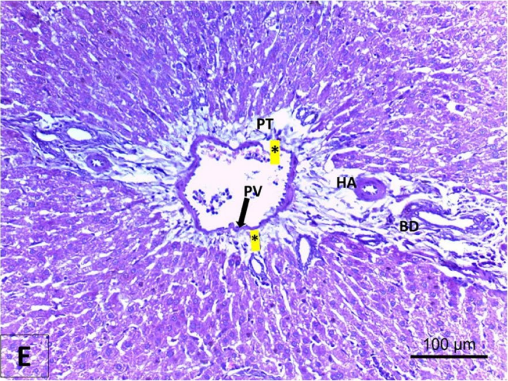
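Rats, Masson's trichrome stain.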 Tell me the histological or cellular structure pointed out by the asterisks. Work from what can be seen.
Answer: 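The asterisks lie in pale fibrous tissue surrounding the large vessel. Small vessels and a duct are embedded in this connective tissue. The answer: collagen deposits.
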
